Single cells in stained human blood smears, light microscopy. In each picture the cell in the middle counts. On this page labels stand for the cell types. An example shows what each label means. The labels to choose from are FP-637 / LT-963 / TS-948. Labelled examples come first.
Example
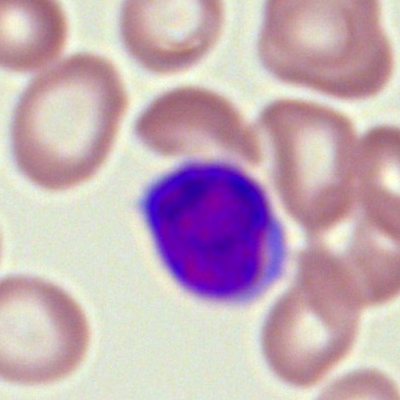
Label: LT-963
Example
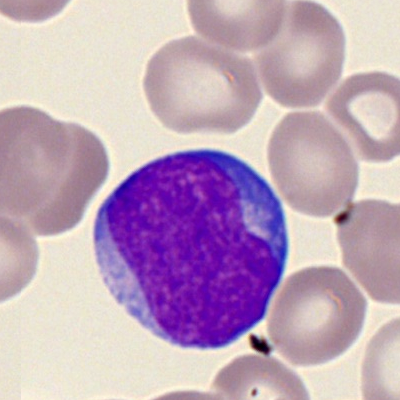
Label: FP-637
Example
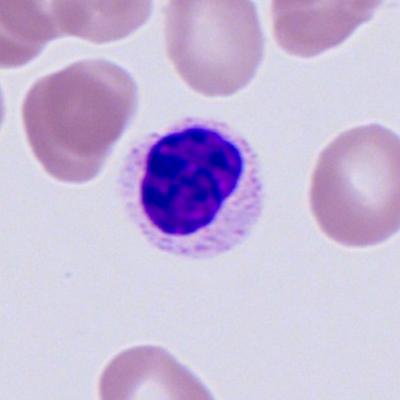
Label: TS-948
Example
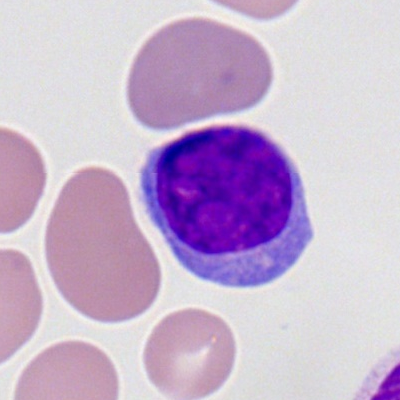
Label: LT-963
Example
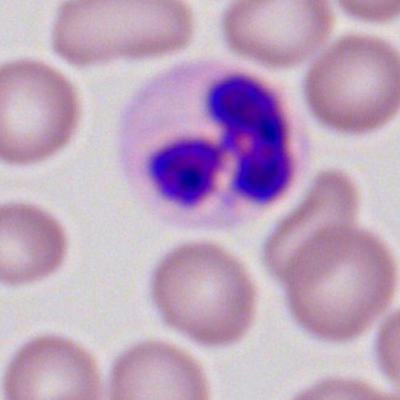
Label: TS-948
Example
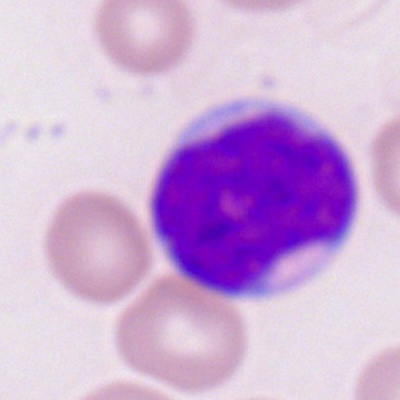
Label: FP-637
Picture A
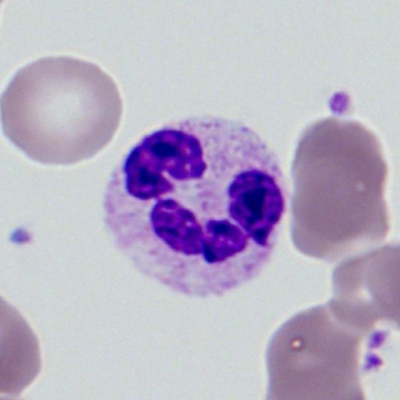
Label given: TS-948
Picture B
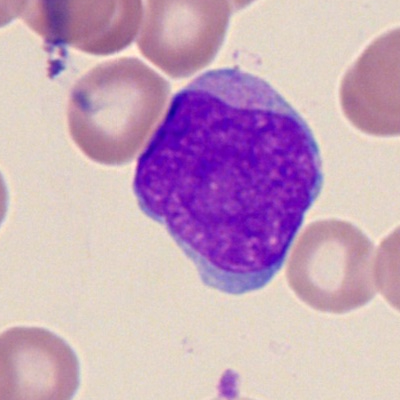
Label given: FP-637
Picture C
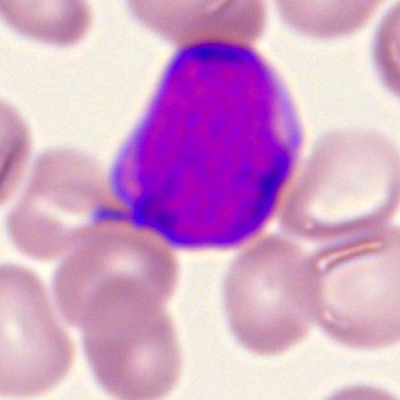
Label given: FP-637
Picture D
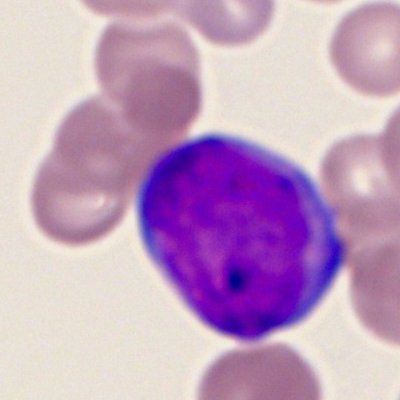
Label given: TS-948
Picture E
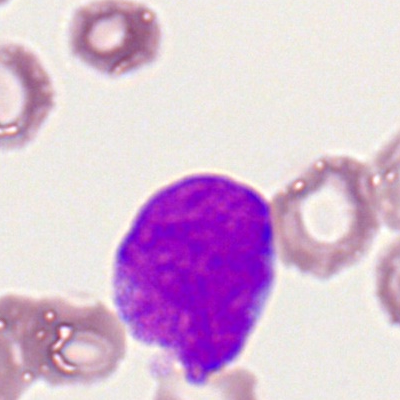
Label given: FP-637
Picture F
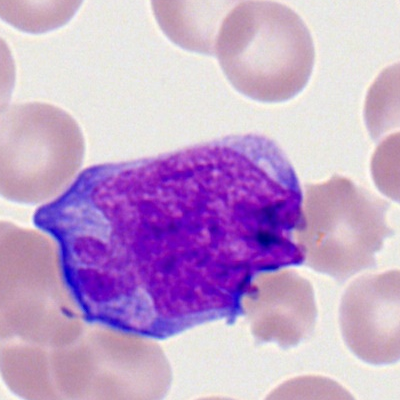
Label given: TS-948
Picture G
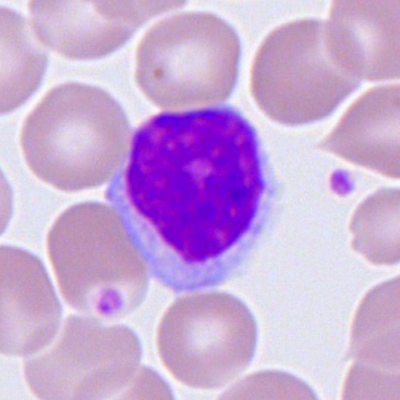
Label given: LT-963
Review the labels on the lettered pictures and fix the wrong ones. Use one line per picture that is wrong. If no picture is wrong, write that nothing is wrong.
D should be FP-637, not TS-948
F should be FP-637, not TS-948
